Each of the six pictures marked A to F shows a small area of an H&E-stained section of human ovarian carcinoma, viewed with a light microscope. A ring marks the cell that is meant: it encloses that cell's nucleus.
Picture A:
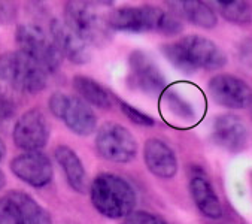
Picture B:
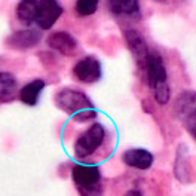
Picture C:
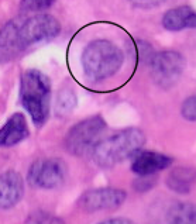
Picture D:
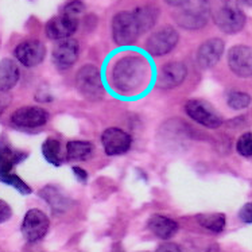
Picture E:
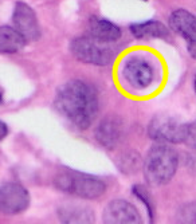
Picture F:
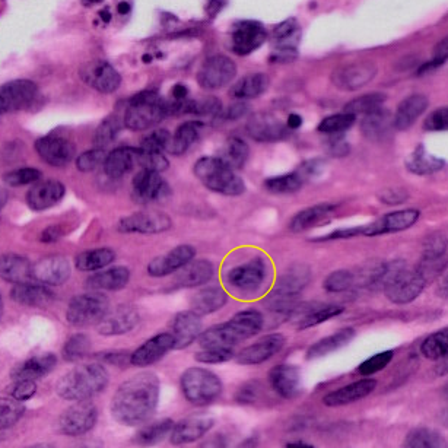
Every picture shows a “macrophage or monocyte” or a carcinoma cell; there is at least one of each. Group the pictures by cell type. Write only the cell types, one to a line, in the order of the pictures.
carcinoma cell
carcinoma cell
carcinoma cell
carcinoma cell
macrophage or monocyte
macrophage or monocyte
